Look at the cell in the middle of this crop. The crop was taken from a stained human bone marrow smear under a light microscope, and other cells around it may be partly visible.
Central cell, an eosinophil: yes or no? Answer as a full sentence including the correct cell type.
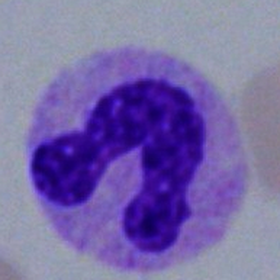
No, the cell under consideration is a neutrophil instead of an eosinophil.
